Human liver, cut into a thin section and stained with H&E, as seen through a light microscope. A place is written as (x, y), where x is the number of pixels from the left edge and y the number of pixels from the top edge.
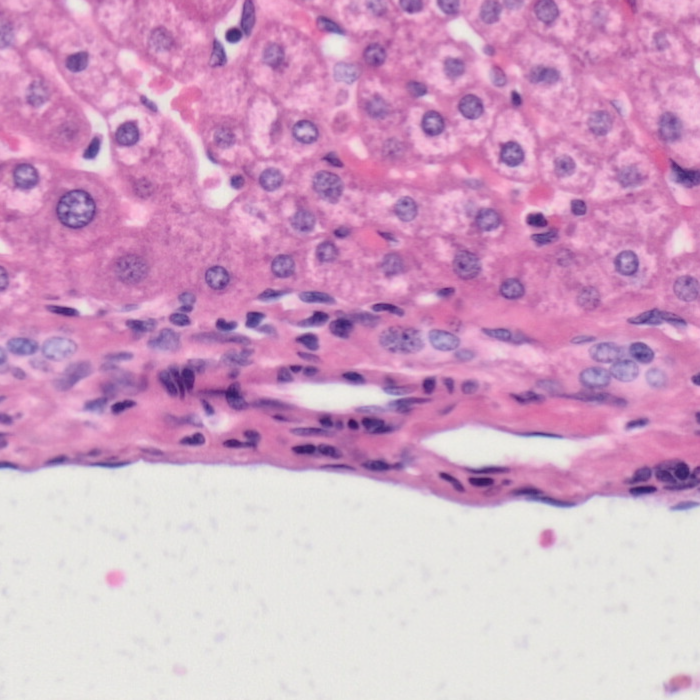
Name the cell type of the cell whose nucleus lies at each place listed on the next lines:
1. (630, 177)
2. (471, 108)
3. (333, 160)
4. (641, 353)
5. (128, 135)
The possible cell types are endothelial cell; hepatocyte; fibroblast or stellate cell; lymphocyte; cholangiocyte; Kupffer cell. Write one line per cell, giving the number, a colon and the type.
1: hepatocyte
2: hepatocyte
3: fibroblast or stellate cell
4: cholangiocyte
5: hepatocyte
